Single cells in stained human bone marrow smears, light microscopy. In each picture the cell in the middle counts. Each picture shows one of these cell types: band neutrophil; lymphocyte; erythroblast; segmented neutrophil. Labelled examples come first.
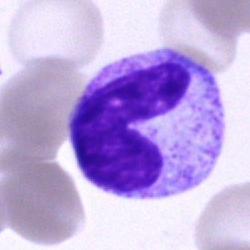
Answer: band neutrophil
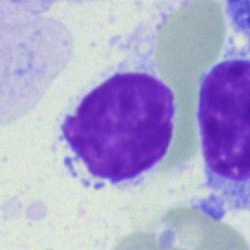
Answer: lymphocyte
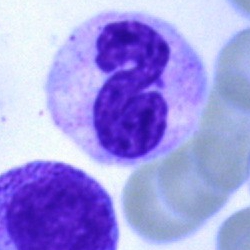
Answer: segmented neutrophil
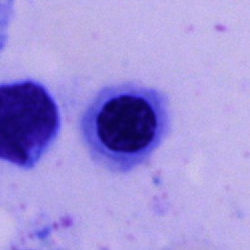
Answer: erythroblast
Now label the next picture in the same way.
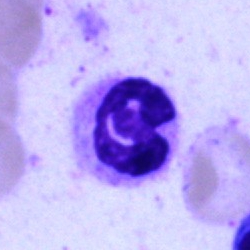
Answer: segmented neutrophil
